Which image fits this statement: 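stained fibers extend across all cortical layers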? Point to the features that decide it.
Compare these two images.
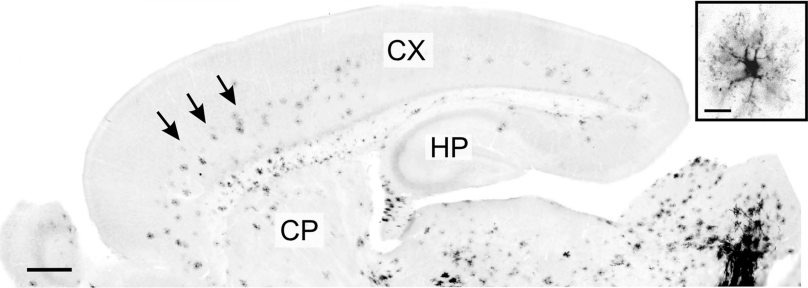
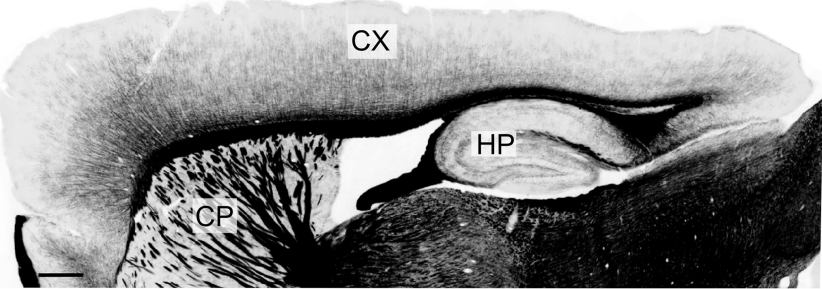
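First image: the cortex shows only scattered single stained cells, without fibres. That points to this answer: the second image.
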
